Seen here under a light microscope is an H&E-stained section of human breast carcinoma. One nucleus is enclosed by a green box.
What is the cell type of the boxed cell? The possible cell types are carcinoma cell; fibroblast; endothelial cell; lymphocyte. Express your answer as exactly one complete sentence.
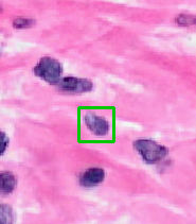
To be brief about it, the boxed cell is a lymphocyte.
